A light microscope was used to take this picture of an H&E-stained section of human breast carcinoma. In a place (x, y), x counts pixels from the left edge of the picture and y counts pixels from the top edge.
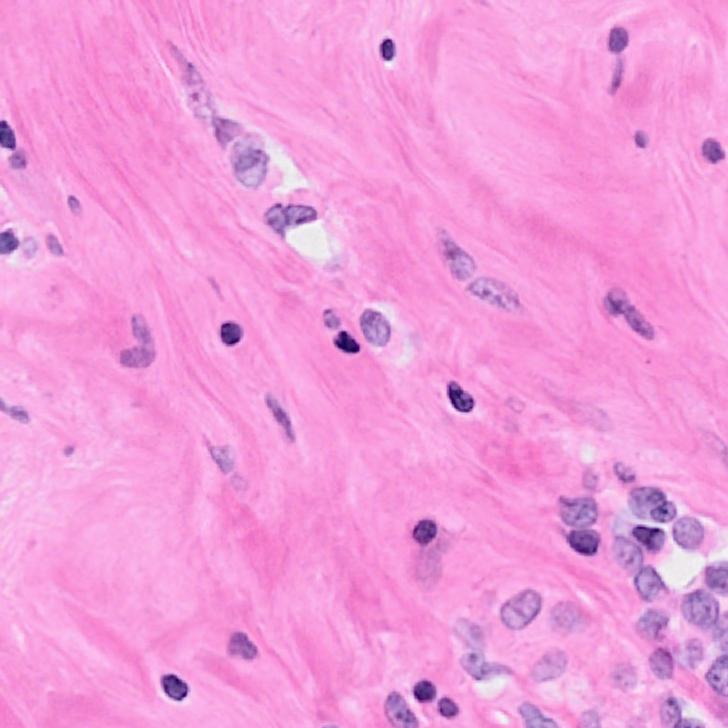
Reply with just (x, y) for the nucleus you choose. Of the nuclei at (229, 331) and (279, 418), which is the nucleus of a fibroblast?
(279, 418)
